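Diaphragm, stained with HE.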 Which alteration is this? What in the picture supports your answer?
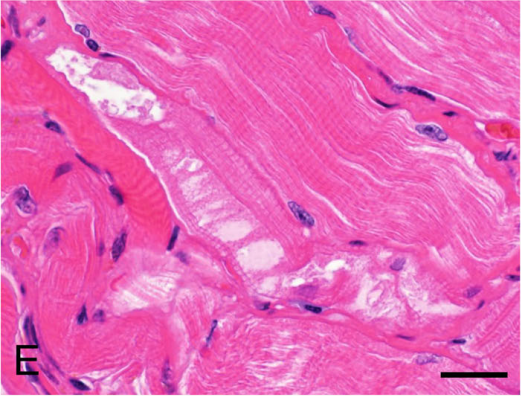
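Marked vacuolar degeneration. One striated fiber contains several clear, empty-looking spaces along its length. Neighbouring fibers show continuous pink cross-striated cytoplasm without such spaces.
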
